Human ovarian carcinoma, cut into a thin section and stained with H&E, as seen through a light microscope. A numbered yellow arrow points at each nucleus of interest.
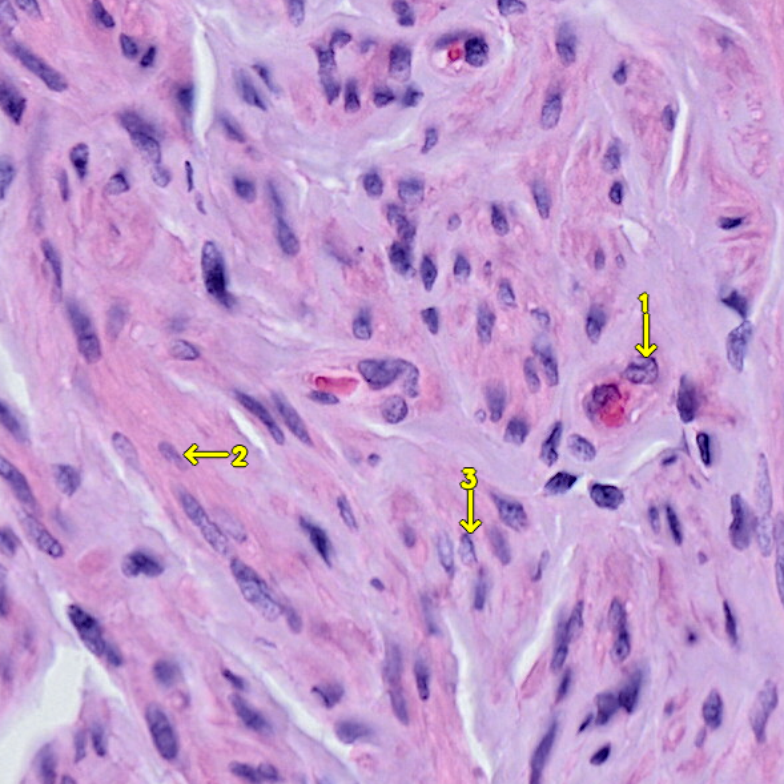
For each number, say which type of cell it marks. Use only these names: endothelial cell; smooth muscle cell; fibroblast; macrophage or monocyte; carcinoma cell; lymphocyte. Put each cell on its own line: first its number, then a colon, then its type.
1: endothelial cell
2: smooth muscle cell
3: smooth muscle cell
